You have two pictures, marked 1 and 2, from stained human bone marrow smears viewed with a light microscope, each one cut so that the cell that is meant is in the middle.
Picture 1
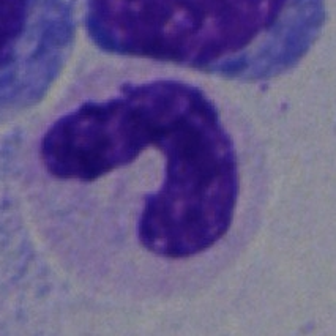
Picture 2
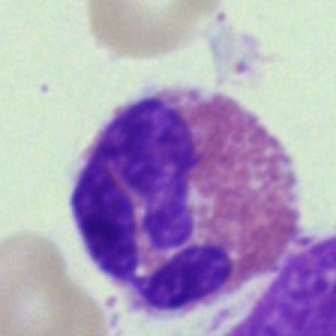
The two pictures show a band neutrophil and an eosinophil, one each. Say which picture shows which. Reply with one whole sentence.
The cell in picture 1 is a band neutrophil, and the one in picture 2 is an eosinophil.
